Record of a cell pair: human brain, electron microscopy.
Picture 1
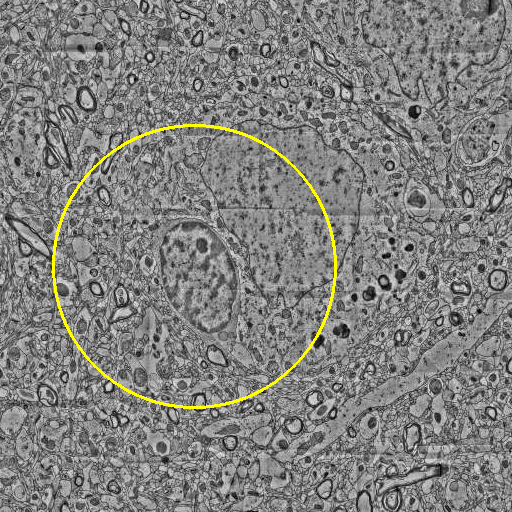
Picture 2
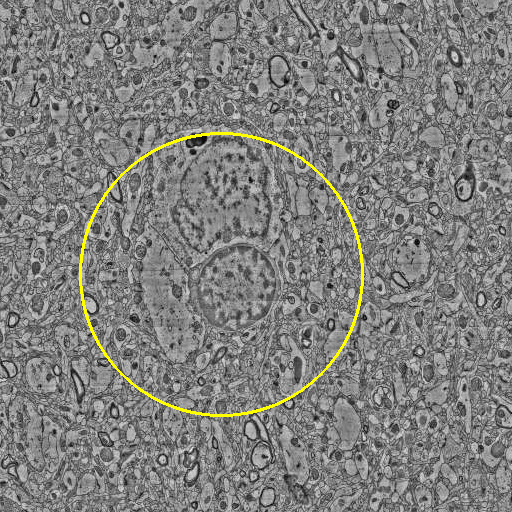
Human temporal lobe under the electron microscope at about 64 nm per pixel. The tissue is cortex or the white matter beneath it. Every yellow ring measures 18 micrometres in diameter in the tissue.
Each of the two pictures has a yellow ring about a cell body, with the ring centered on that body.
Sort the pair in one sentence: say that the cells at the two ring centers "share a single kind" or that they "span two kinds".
The cells centered in the rings of Pictures 1 and 2 share a single kind.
